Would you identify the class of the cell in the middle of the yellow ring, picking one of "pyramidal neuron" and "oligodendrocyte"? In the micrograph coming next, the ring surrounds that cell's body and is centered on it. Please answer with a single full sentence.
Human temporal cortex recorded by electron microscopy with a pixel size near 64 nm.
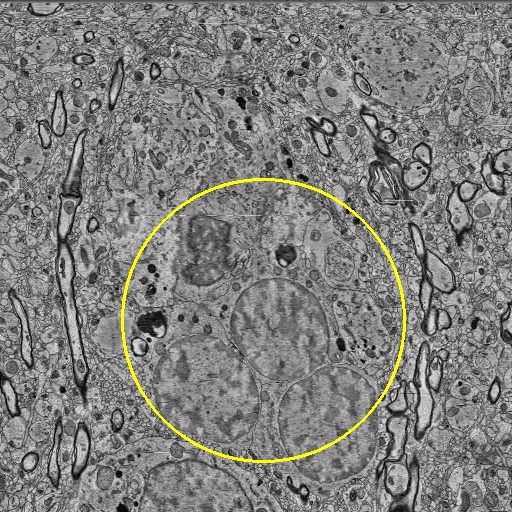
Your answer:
In the micrograph, it is an oligodendrocyte whose body lies at the ring's center.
